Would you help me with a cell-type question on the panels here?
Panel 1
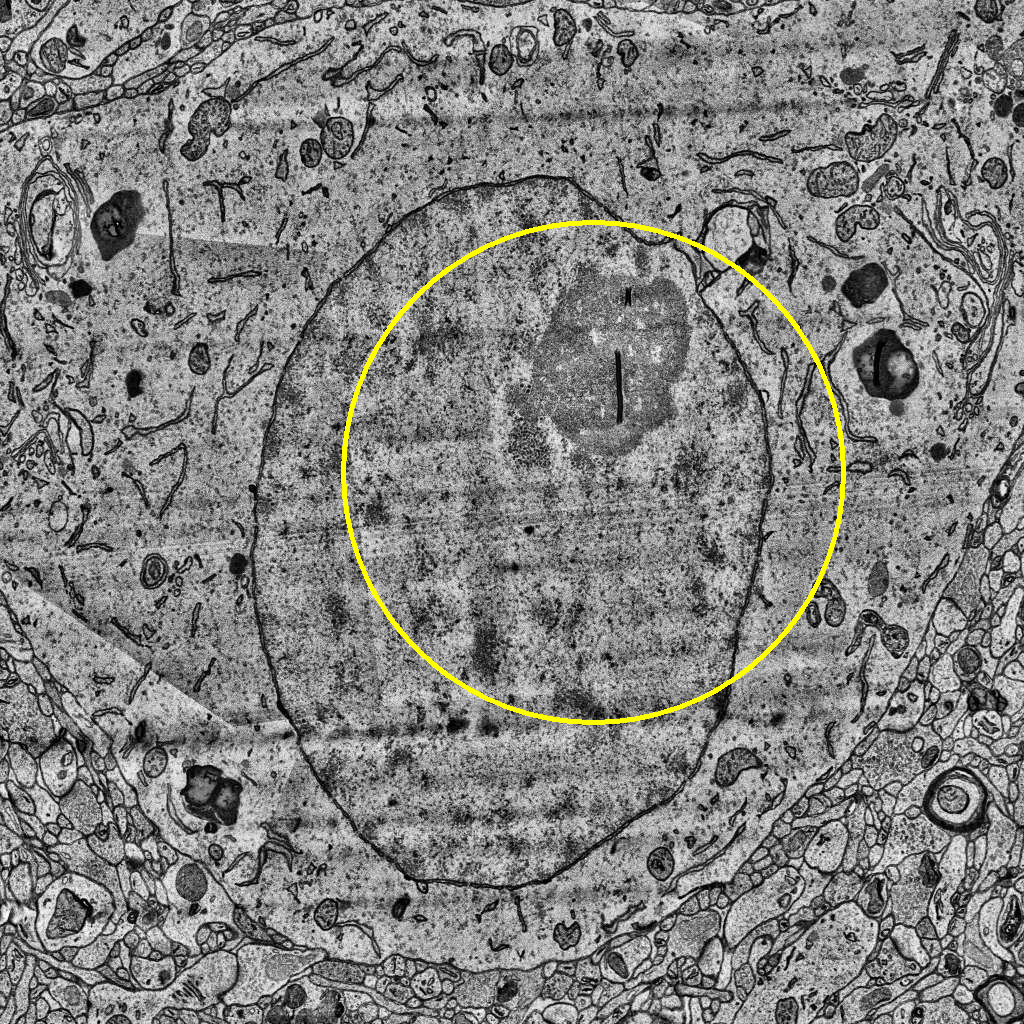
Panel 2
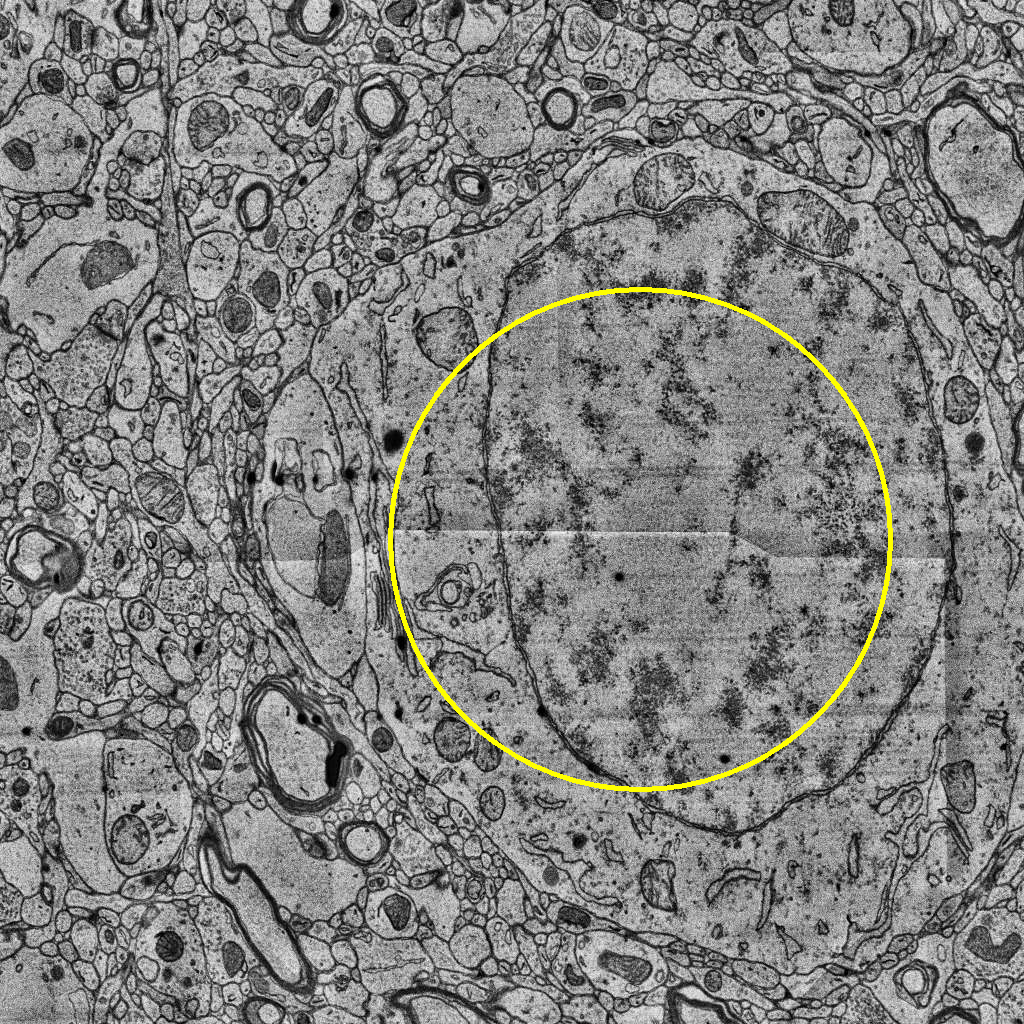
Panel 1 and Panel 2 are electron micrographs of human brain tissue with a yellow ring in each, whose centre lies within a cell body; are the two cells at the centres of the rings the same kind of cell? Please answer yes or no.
yes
